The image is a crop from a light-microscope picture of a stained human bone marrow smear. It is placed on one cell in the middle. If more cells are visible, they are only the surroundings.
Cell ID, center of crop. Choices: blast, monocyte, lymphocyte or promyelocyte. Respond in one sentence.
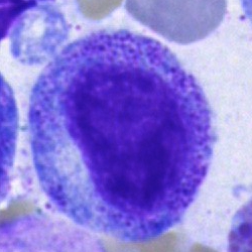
In the centre of this crop there is a promyelocyte.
